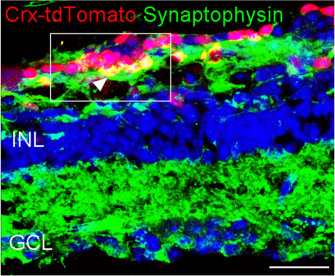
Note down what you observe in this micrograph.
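This retinal section shows red photoreceptor cells clustered along the outer edge, above a layer of blue nuclei. Green granular staining gathers around and between the red cells, often overlapping them in yellow. A broad band of green granular staining lies deeper in the retina, above the ganglion cell layer.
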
